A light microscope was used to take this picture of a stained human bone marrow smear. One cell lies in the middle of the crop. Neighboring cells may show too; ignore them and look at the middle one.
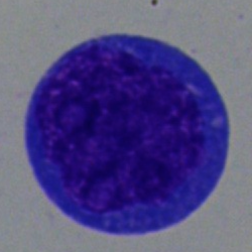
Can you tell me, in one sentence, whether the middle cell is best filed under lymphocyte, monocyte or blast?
The central cell, amid any neighbouring cells, is a blast.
